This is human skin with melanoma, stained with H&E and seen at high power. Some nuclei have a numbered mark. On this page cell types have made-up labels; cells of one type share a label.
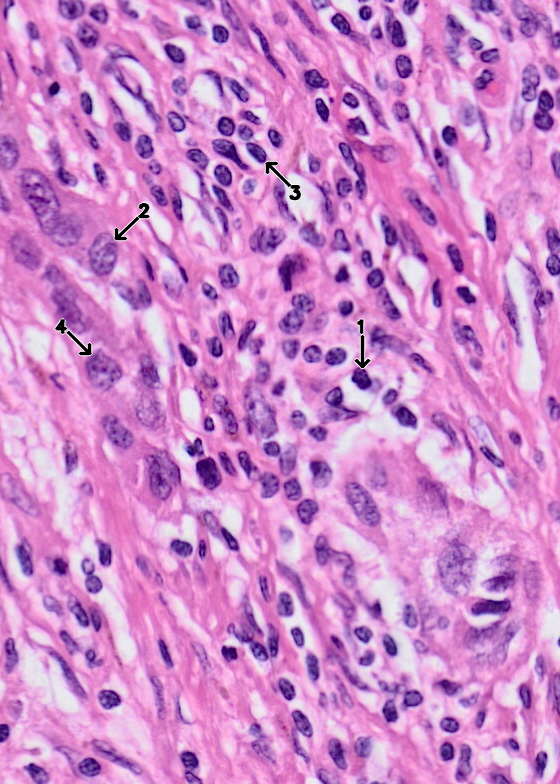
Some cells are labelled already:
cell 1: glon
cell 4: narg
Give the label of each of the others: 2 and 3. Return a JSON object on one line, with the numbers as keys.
{"2": "narg", "3": "glon"}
